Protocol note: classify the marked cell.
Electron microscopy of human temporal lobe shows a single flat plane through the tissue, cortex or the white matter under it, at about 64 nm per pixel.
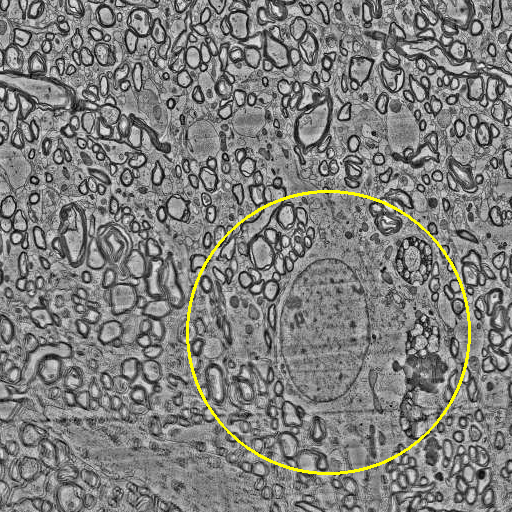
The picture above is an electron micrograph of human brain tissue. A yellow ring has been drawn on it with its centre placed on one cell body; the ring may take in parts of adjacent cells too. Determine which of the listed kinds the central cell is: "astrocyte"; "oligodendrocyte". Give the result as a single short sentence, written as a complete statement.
The central cell is an astrocyte.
